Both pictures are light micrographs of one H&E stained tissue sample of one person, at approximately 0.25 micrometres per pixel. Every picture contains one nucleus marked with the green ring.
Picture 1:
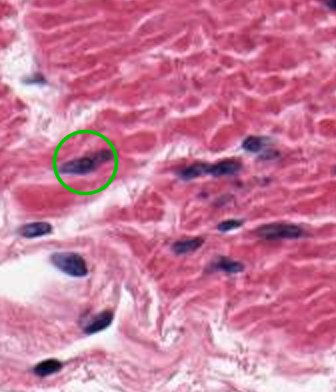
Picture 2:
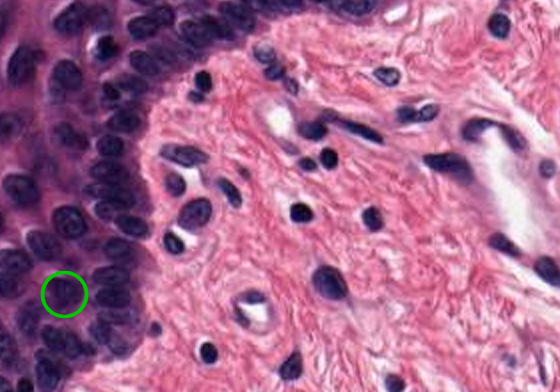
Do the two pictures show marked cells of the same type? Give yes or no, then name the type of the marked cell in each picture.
No, the first is a smooth muscle cell and the second a squamous epithelial cell.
